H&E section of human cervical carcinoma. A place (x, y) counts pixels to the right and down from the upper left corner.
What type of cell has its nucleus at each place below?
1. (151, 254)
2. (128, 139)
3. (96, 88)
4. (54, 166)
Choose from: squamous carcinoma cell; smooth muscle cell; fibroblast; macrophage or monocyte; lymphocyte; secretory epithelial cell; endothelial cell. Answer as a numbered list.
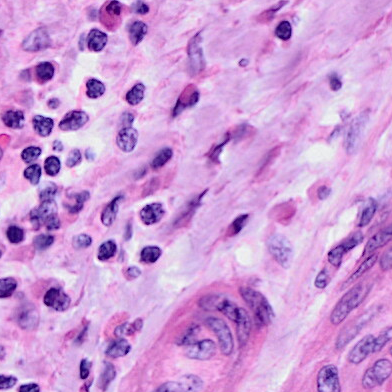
1. lymphocyte
2. macrophage or monocyte
3. lymphocyte
4. lymphocyte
